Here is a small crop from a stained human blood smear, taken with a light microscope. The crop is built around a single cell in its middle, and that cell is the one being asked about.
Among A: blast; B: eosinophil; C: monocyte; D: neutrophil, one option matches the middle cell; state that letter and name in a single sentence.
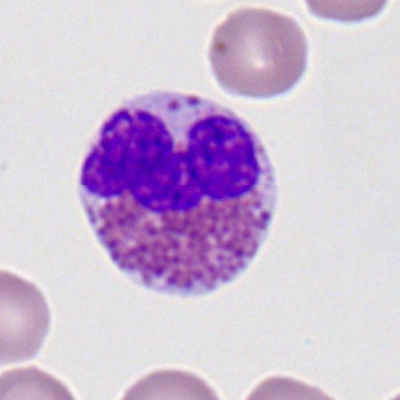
Option B is correct, and the cell in the centre is an eosinophil.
